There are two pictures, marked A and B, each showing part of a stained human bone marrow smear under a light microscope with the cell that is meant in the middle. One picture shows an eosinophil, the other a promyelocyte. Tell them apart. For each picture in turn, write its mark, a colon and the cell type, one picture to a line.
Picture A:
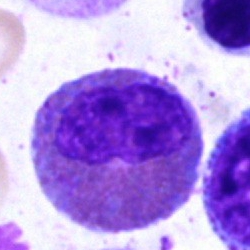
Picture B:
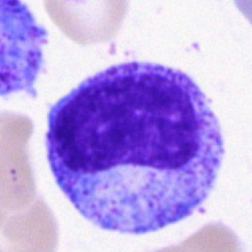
A: eosinophil
B: promyelocyte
